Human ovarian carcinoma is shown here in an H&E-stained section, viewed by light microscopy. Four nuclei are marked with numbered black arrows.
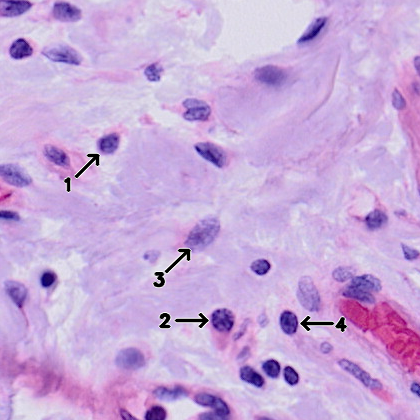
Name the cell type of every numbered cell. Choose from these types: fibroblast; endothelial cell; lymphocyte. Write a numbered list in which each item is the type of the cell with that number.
1. lymphocyte
2. lymphocyte
3. fibroblast
4. lymphocyte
